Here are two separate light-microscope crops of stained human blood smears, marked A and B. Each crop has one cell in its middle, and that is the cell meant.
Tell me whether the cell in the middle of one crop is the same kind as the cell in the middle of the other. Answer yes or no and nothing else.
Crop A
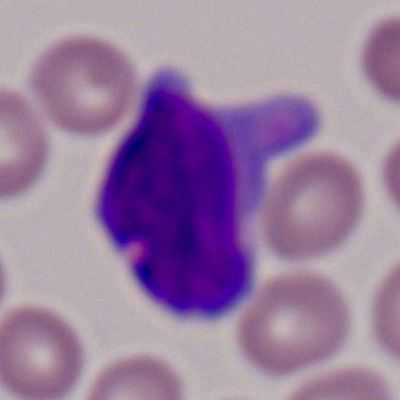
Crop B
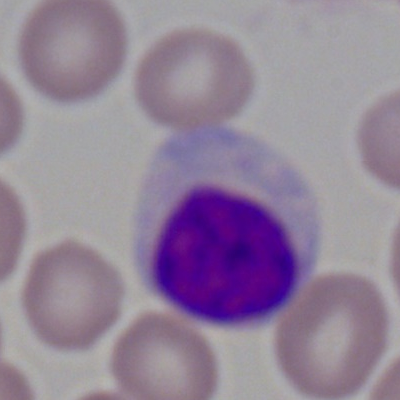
no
